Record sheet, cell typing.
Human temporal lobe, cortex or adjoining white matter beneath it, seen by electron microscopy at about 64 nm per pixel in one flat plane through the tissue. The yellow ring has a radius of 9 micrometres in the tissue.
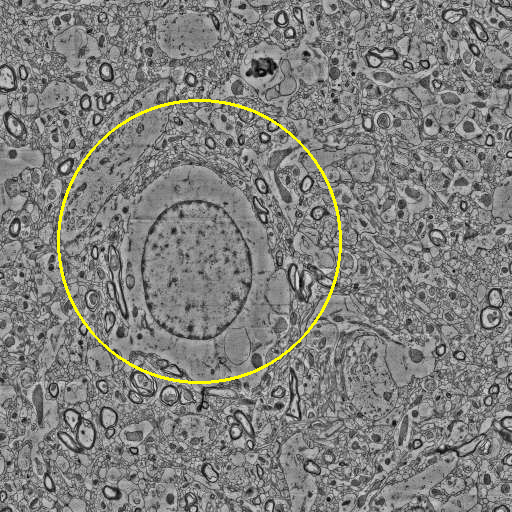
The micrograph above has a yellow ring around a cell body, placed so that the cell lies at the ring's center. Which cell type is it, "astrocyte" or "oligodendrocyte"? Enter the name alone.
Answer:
astrocyte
